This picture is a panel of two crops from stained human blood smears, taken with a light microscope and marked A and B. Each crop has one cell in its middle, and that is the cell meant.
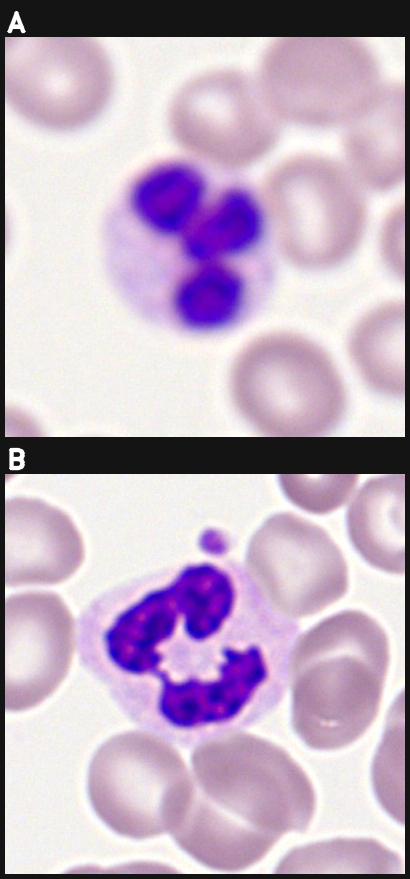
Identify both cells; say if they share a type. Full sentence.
Yes, both crops are centred on segmented neutrophils.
